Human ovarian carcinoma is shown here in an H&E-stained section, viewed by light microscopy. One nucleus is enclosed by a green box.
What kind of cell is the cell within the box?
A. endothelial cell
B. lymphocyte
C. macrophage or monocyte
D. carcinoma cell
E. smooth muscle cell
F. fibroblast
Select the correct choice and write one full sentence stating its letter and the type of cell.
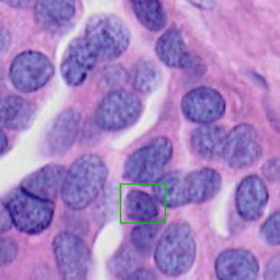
Here the right answer is D, with the cell within the box being a carcinoma cell.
